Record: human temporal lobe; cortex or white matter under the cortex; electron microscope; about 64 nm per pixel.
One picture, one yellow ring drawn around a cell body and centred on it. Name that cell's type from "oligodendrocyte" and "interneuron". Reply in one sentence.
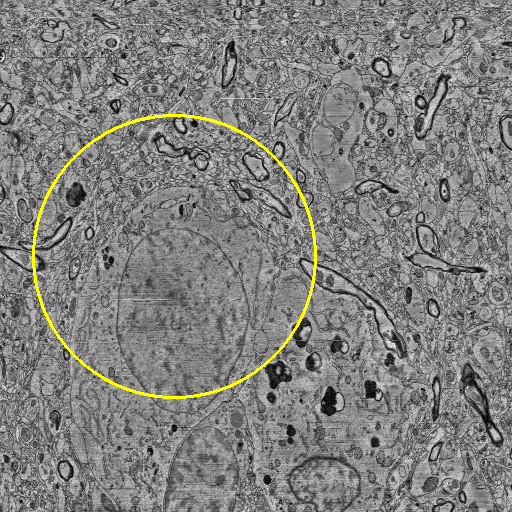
Centred in the ring is an interneuron.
